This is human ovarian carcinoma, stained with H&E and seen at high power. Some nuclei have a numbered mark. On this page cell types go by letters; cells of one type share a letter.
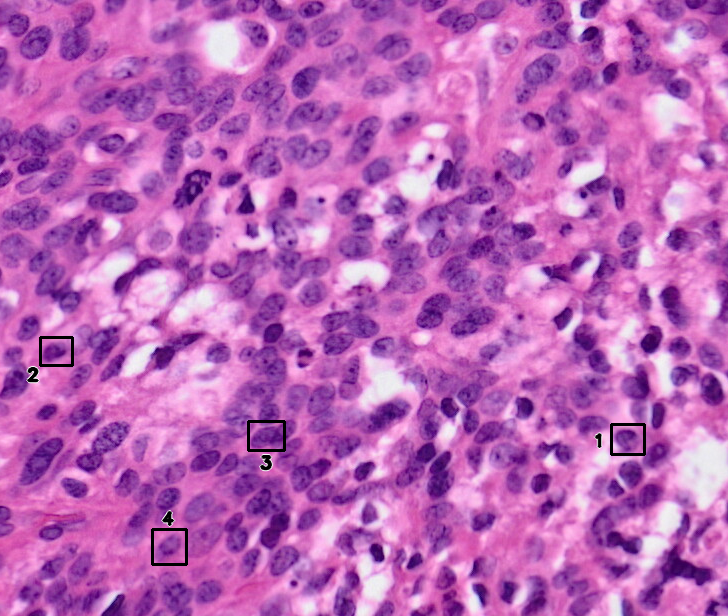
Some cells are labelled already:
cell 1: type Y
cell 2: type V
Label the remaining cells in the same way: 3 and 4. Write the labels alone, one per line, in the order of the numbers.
type V
type V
